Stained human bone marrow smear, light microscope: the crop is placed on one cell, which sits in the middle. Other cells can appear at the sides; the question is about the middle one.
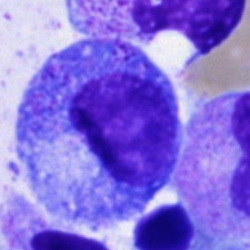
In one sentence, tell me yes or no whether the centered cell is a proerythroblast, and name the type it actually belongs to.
No, the centred cell is a promyelocyte, and it is not a proerythroblast.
